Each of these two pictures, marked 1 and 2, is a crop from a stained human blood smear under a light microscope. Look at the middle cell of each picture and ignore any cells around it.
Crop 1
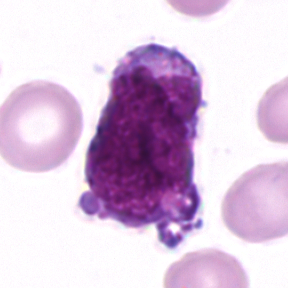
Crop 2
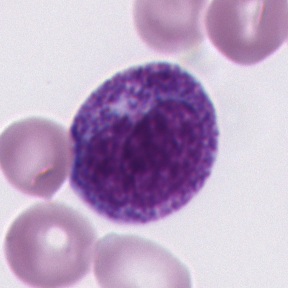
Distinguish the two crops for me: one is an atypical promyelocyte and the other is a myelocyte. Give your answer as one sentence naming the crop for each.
In crop 1 the cell is an atypical promyelocyte, while in crop 2 it is a myelocyte.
